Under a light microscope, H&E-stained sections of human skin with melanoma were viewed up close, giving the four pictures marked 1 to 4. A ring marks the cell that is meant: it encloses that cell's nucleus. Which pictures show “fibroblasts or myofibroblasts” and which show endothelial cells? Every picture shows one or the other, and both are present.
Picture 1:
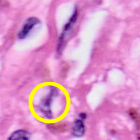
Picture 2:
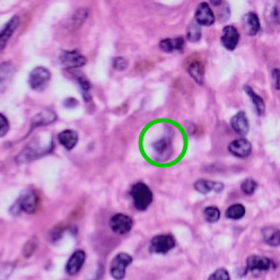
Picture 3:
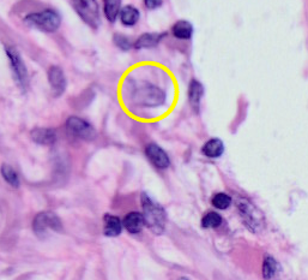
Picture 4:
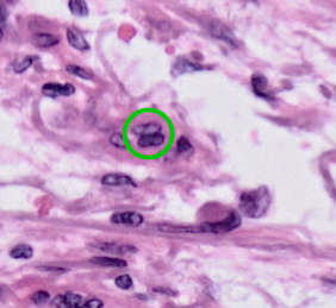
1: fibroblast or myofibroblast
2: fibroblast or myofibroblast
3: fibroblast or myofibroblast
4: endothelial cell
